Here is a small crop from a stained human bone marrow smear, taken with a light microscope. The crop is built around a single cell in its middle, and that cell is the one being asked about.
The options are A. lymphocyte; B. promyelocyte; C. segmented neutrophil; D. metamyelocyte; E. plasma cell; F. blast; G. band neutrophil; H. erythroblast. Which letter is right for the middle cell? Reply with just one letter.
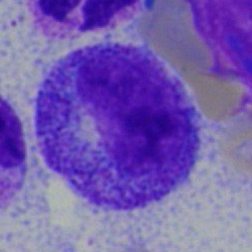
B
